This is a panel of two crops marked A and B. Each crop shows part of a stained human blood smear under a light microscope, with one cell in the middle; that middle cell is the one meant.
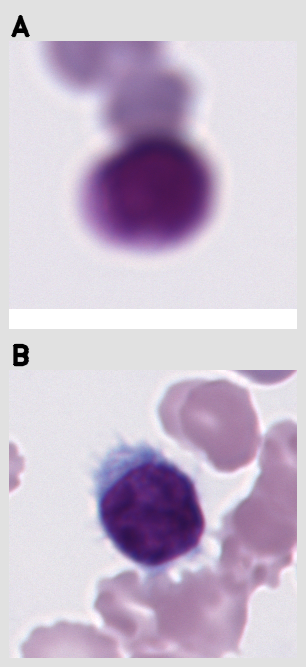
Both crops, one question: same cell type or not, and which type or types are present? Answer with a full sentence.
No, it is a smudge cell that crop A shows, and a hairy cell that crop B shows.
